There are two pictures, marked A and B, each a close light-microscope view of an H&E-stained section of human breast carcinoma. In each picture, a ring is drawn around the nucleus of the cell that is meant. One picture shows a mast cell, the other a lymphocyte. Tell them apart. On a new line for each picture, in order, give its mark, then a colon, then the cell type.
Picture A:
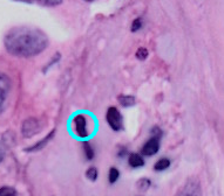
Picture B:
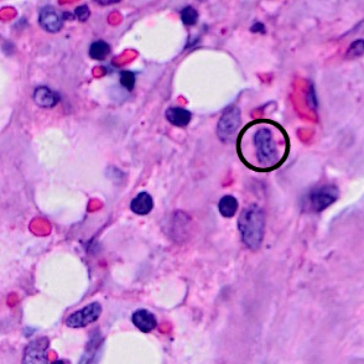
A: lymphocyte
B: mast cell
